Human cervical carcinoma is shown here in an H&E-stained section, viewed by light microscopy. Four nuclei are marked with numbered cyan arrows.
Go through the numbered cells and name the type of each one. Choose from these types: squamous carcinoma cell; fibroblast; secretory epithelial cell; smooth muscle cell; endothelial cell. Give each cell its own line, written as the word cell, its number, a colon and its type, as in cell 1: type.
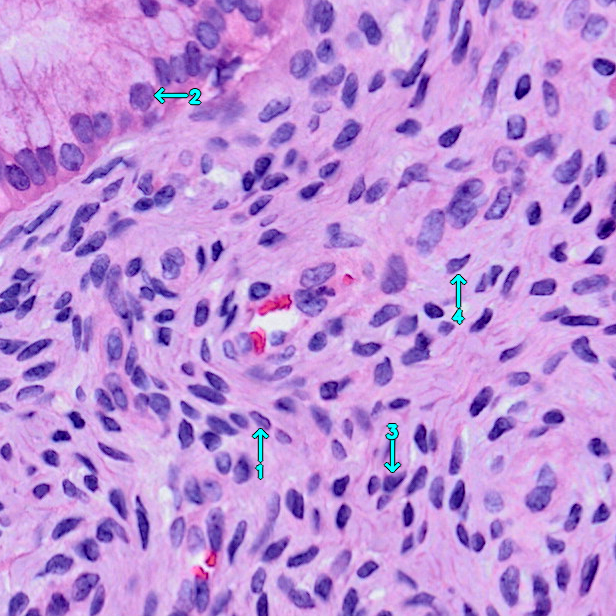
cell 1: fibroblast
cell 2: secretory epithelial cell
cell 3: fibroblast
cell 4: fibroblast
